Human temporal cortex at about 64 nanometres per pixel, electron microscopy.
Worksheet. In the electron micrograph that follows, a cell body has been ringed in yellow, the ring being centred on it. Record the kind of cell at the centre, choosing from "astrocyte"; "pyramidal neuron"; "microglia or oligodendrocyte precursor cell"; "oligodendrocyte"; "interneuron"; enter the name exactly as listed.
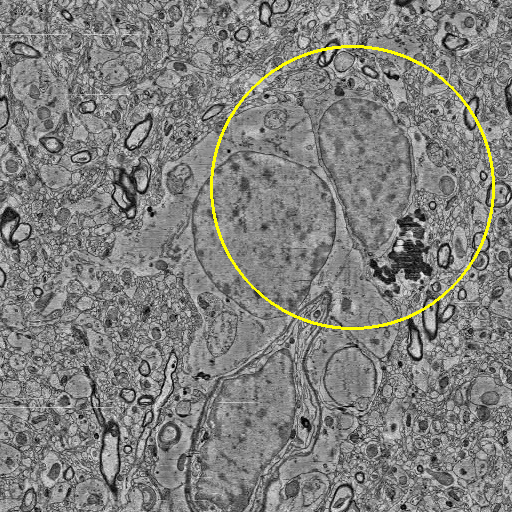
oligodendrocyte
